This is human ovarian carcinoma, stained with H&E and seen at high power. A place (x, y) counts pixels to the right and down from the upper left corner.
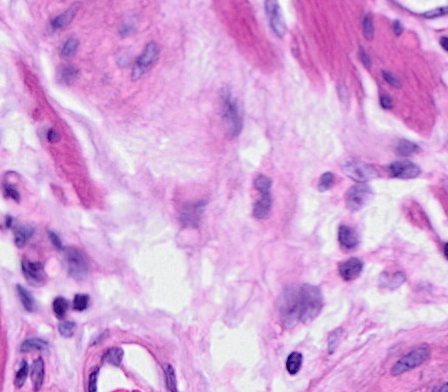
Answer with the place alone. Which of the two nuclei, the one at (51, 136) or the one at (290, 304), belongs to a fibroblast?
(290, 304)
